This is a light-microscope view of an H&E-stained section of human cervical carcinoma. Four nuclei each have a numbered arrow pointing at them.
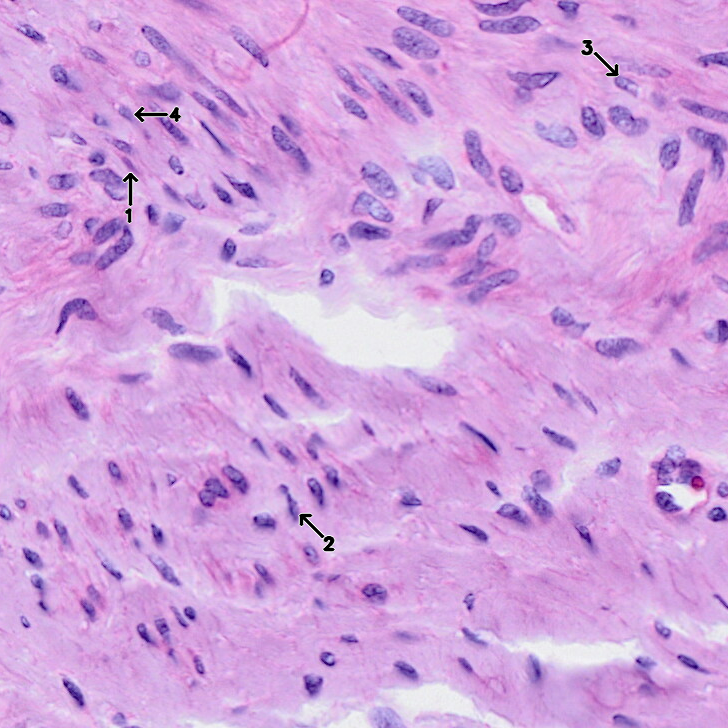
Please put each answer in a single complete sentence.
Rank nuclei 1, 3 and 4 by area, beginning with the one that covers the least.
By area, going up from the smallest, they rank 1, 4, 3.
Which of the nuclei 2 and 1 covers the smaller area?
Number 1 is smaller, since number 2 takes up about 4 times as much area.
